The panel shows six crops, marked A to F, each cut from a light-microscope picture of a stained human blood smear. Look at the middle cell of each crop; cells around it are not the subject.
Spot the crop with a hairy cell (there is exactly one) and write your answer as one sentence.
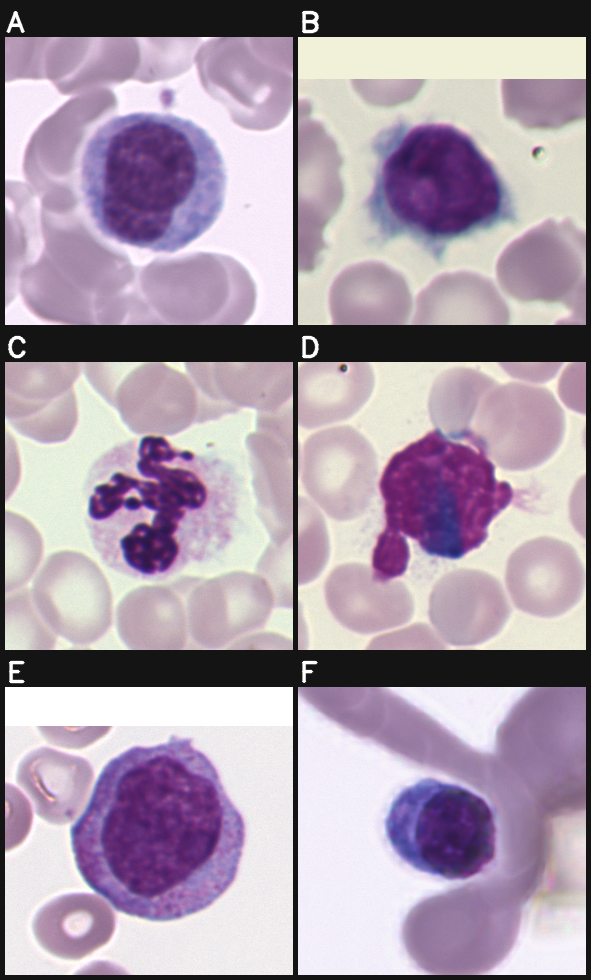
Crop B, and no other, is the one that shows a hairy cell.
